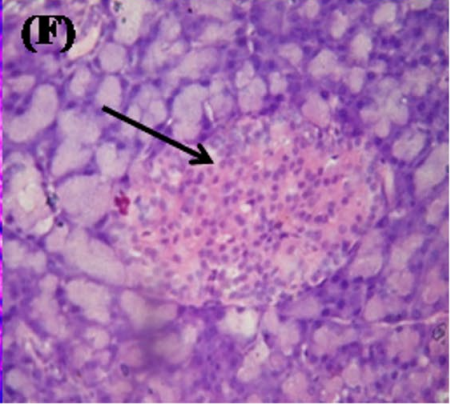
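A large oval pancreatic islet occupies the middle of the field, surrounded by exocrine acini. The islet is made of many small cells with round, dark purple nuclei scattered through pale pink cytoplasm, giving it a lighter, finely speckled look compared with the tissue around it. The acini around it appear as rounded pale lilac units with nuclei at their periphery.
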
